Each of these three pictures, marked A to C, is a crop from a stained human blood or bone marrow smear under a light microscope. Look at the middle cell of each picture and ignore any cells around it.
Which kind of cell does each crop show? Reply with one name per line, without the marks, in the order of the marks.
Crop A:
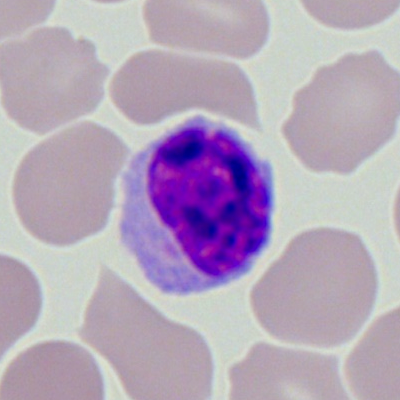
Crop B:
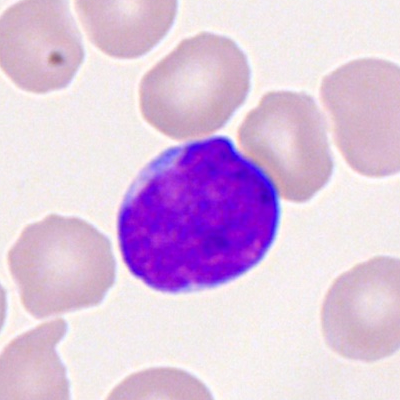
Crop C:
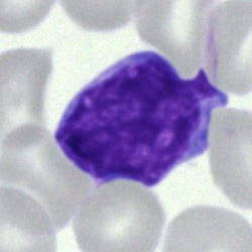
lymphocyte
blast
blast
